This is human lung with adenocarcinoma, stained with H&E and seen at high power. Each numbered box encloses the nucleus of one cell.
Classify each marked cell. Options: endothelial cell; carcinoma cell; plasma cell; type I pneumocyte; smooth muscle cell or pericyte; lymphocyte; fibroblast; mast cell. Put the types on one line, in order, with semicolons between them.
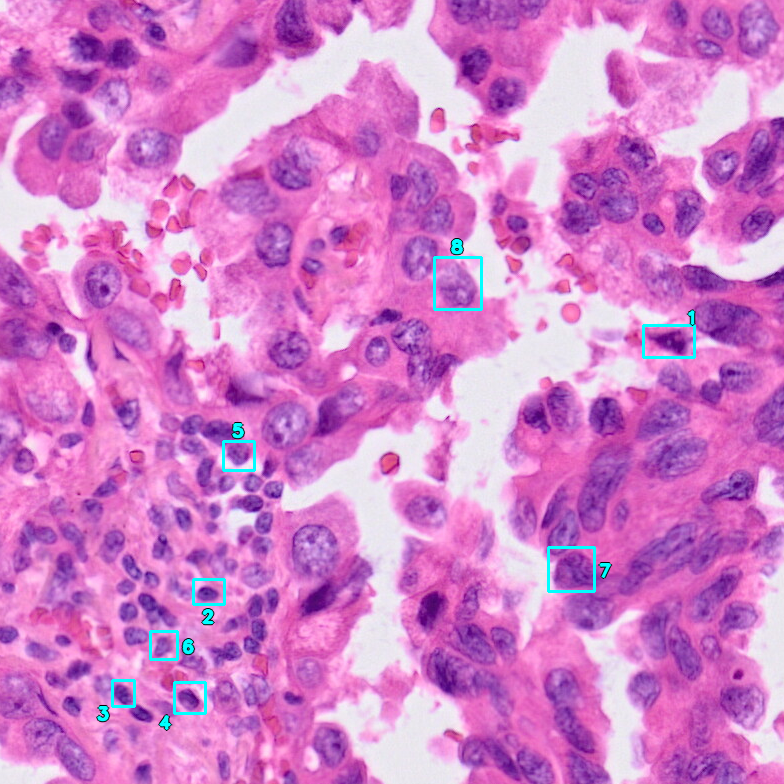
carcinoma cell; lymphocyte; lymphocyte; lymphocyte; lymphocyte; lymphocyte; carcinoma cell; carcinoma cell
